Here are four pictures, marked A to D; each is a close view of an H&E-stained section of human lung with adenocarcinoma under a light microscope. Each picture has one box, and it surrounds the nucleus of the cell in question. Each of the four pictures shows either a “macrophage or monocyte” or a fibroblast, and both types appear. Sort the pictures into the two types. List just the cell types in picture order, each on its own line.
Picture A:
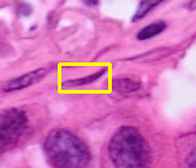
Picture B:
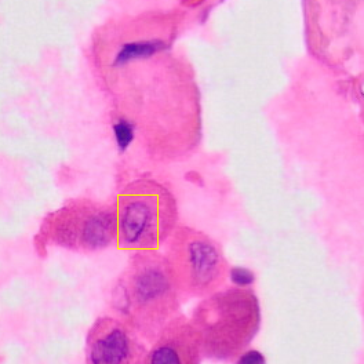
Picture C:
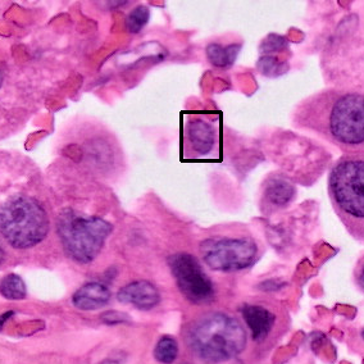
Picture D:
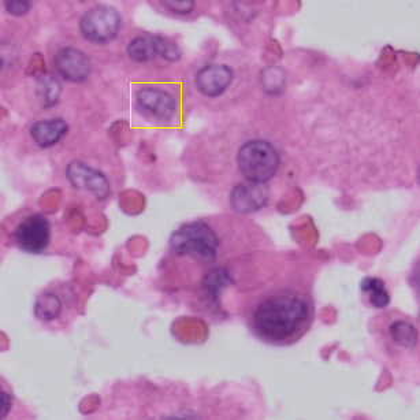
fibroblast
macrophage or monocyte
macrophage or monocyte
macrophage or monocyte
